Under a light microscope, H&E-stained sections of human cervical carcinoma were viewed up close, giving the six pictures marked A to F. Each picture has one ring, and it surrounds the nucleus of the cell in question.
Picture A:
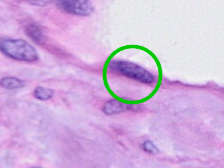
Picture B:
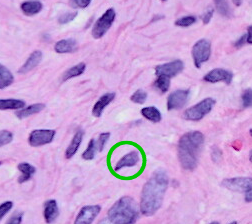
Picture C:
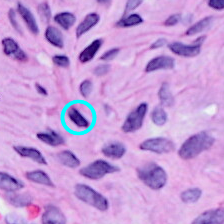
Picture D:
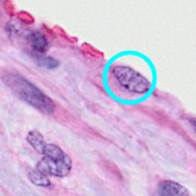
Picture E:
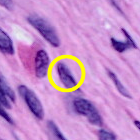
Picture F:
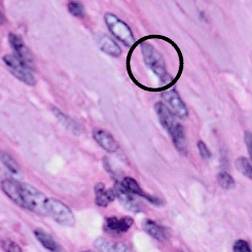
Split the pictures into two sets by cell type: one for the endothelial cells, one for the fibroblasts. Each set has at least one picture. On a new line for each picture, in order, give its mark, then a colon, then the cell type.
A: endothelial cell
B: fibroblast
C: fibroblast
D: endothelial cell
E: fibroblast
F: endothelial cell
